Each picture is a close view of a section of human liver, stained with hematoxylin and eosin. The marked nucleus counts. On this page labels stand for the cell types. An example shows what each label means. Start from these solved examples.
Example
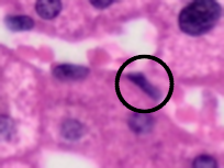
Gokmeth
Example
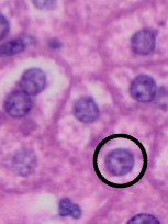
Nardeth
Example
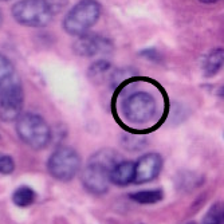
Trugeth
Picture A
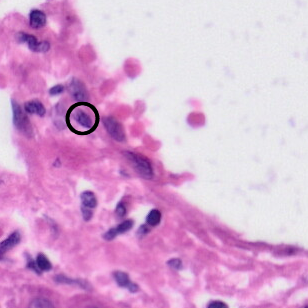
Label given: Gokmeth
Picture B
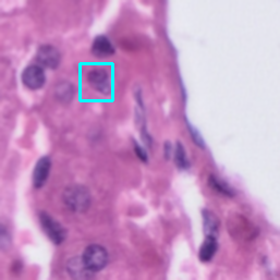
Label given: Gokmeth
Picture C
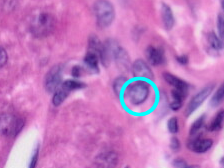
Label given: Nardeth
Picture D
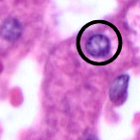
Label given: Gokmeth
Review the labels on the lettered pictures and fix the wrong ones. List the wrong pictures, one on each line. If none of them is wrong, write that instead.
C: Trugeth, not Nardeth
D: Nardeth, not Gokmeth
